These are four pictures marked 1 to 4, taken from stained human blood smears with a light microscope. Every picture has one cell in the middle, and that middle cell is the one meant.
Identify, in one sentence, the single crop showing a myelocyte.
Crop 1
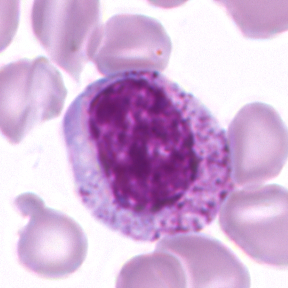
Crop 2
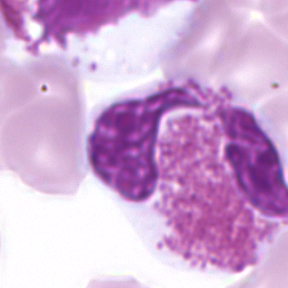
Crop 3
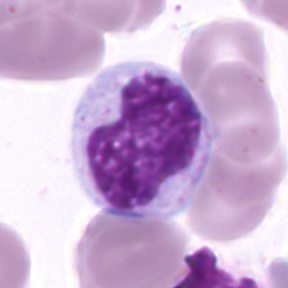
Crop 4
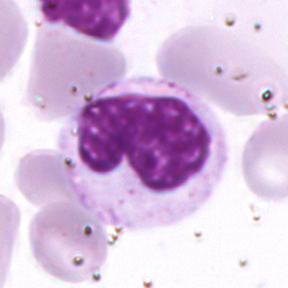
Crop 1, and no other, shows a myelocyte.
